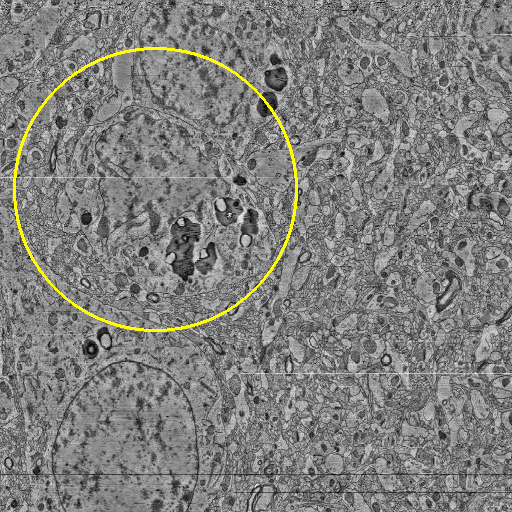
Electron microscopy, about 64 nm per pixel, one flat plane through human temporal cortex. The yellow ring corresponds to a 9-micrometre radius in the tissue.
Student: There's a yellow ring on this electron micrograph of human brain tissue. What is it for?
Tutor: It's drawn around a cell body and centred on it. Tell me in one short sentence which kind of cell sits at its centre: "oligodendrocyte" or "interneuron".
The cell at the centre of the ring is an interneuron.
